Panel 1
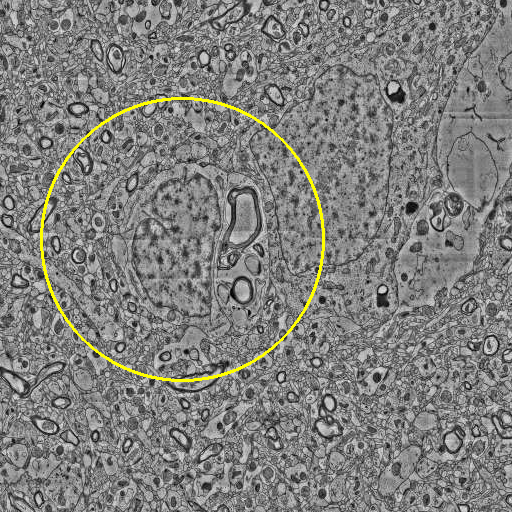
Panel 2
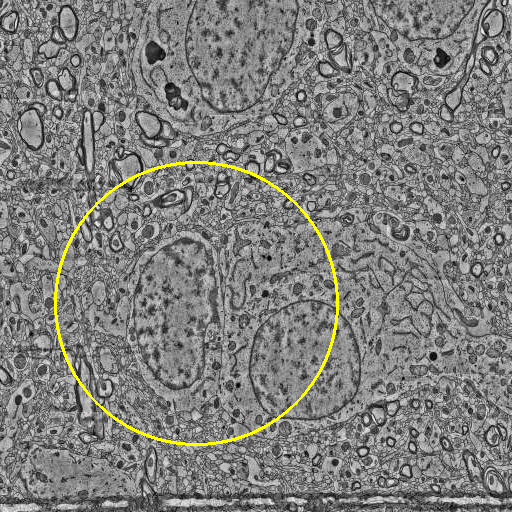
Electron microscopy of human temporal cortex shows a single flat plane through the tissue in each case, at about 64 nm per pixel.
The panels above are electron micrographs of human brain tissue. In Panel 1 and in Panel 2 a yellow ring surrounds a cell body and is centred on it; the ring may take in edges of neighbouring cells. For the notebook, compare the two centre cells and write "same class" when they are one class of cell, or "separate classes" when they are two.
same class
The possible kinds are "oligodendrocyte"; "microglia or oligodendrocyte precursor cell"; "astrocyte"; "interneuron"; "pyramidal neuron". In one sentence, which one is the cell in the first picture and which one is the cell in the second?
In both pictures the ring is centred on an interneuron.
